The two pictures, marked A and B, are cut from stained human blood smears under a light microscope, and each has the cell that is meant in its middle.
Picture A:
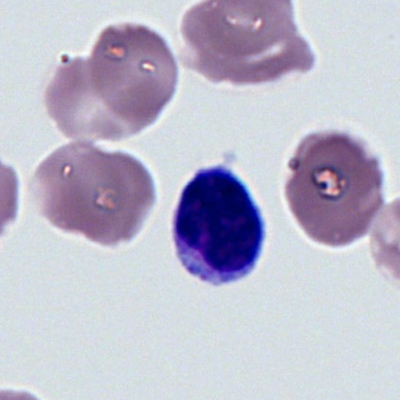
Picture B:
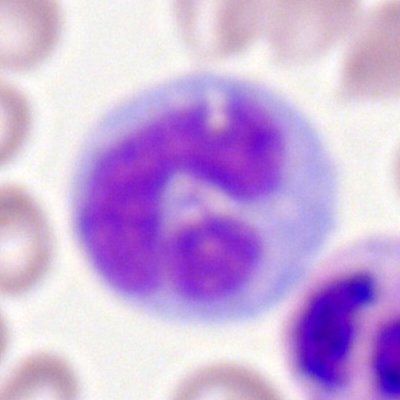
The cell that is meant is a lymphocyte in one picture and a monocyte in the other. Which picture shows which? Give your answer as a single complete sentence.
The cell in picture A is a lymphocyte, and the one in picture B is a monocyte.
